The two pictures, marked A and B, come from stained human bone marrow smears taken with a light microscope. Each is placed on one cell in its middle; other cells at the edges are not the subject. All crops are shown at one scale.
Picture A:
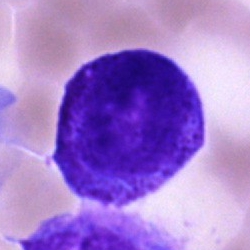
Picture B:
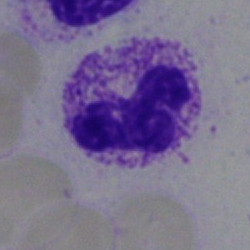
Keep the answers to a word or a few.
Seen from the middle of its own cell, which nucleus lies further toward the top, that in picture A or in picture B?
A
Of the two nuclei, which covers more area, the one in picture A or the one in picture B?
A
